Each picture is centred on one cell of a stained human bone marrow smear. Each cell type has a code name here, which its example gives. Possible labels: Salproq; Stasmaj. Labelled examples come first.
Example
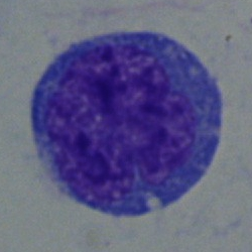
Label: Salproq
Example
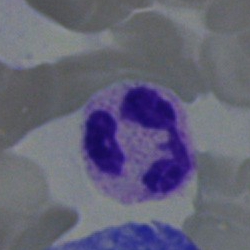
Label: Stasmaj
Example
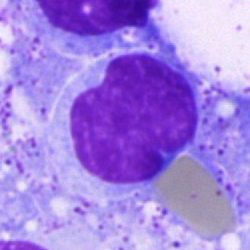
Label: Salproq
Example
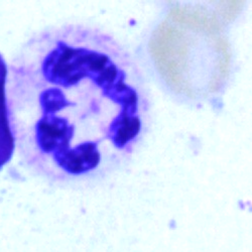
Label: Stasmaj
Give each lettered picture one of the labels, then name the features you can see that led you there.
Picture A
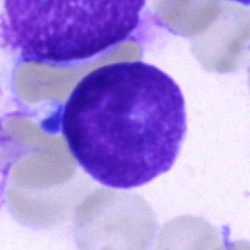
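Label: Salproq. Cytoplasm is so scant that it is barely visible around the nucleus.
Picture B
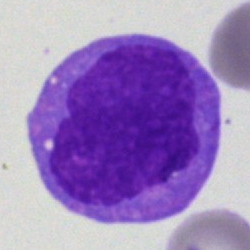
Label: Salproq. The chromatin is finely granular rather than coarsely clumped.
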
